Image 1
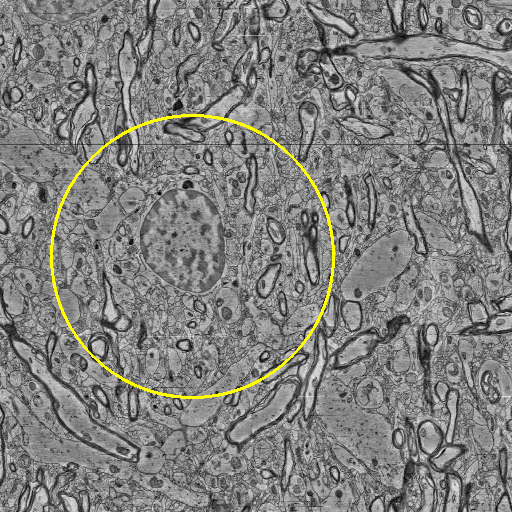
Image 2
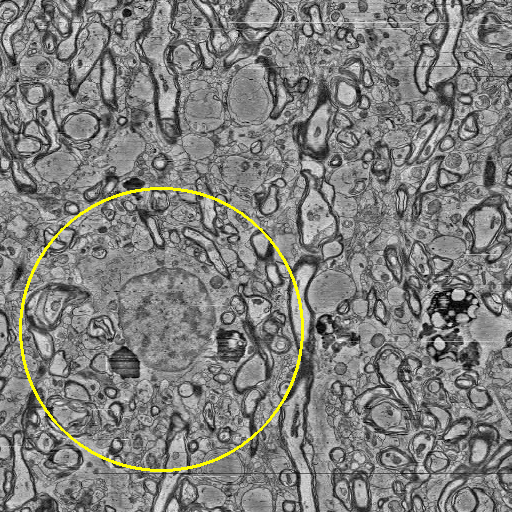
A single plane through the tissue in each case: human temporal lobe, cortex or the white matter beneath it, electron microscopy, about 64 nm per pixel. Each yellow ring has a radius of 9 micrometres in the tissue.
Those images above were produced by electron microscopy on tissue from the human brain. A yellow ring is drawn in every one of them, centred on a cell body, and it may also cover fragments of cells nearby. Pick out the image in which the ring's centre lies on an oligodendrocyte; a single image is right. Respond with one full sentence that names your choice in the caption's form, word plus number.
Image 2 is my choice: its ring is centred on the requested cell.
